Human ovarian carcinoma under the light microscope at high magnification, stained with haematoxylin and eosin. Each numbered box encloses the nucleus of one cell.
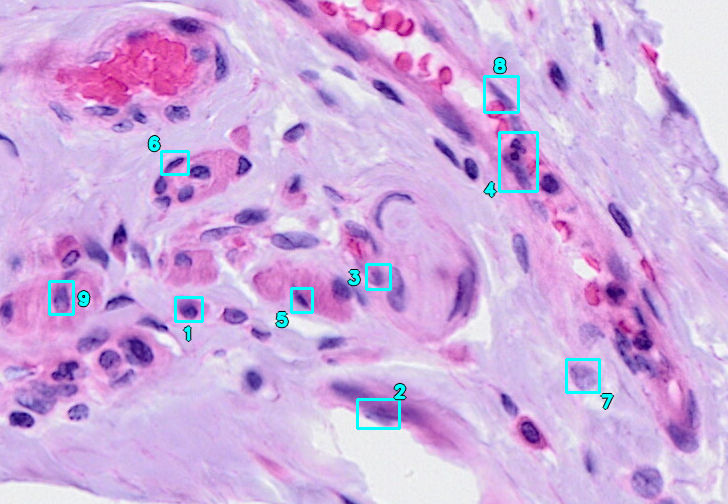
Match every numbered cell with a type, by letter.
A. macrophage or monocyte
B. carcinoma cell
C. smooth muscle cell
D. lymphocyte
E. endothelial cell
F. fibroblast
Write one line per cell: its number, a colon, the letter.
1: C
2: E
3: E
4: E
5: C
6: C
7: F
8: E
9: C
